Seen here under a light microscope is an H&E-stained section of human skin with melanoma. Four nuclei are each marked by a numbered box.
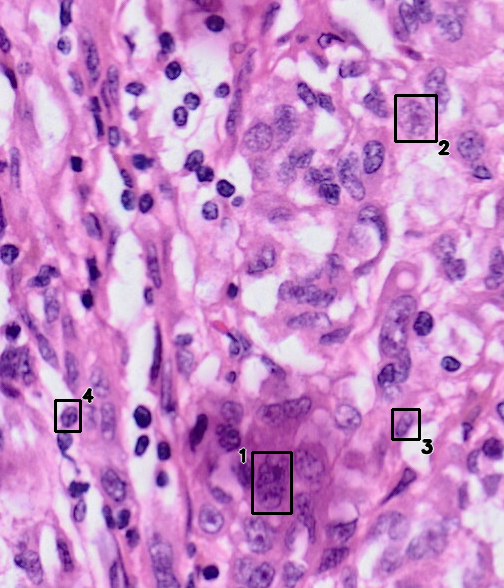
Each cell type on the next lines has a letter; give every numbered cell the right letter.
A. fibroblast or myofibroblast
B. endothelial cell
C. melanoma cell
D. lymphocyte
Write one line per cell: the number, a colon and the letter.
1: C
2: C
3: C
4: D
